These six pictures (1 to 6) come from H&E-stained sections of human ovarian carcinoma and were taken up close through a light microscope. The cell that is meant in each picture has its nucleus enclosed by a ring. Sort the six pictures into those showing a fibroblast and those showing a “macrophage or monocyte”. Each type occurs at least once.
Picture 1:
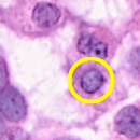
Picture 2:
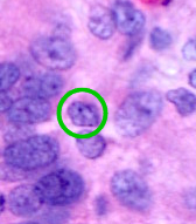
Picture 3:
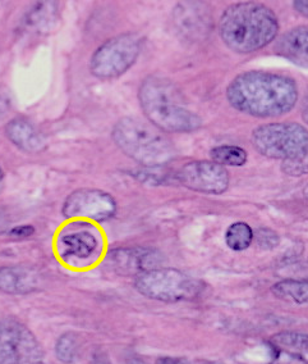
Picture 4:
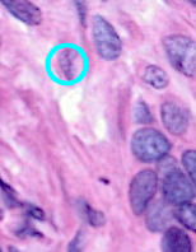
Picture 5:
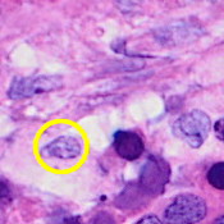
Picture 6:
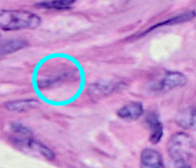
1: macrophage or monocyte
2: macrophage or monocyte
3: macrophage or monocyte
4: fibroblast
5: macrophage or monocyte
6: fibroblast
